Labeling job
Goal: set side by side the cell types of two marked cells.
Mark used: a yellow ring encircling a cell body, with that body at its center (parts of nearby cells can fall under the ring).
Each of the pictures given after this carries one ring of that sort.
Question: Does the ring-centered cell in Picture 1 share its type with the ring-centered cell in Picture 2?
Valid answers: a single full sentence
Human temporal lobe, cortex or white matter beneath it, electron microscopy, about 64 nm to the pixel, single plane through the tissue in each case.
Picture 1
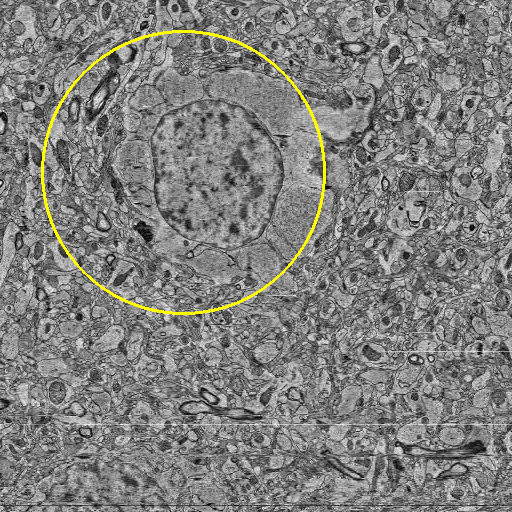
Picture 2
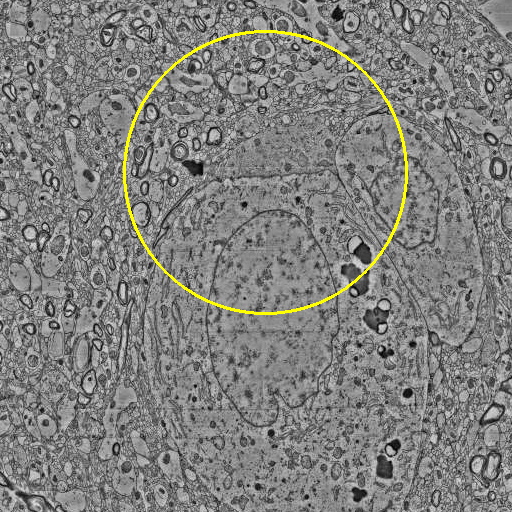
No, in Pictures 1 and 2 the cells at the ring centers have separate types.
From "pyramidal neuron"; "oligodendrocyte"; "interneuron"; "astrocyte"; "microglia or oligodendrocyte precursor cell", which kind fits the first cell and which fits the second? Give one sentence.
The cell marked in the first picture is an astrocyte, and the one marked in the second is an oligodendrocyte.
